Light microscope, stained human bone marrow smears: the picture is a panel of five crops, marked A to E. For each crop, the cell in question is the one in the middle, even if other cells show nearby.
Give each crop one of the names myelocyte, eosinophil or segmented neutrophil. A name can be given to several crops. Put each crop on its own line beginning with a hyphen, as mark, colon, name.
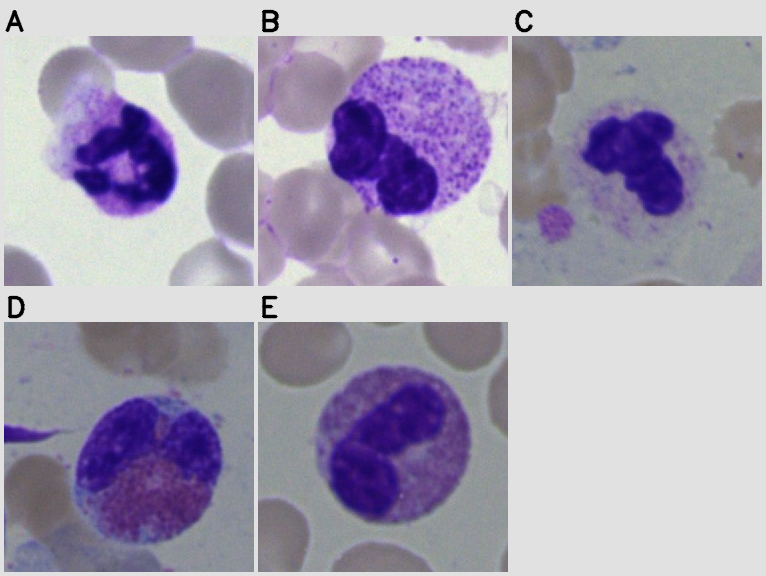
- A: segmented neutrophil
- B: segmented neutrophil
- C: segmented neutrophil
- D: eosinophil
- E: eosinophil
